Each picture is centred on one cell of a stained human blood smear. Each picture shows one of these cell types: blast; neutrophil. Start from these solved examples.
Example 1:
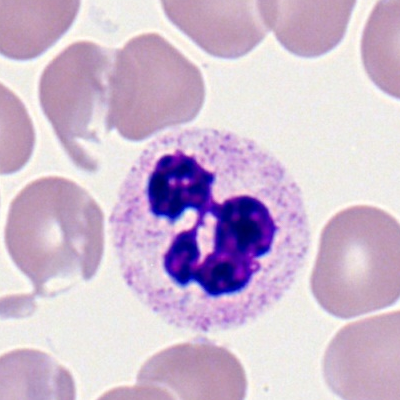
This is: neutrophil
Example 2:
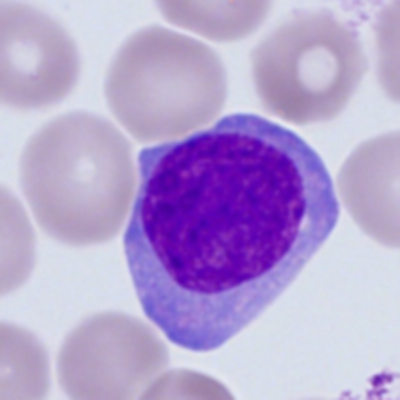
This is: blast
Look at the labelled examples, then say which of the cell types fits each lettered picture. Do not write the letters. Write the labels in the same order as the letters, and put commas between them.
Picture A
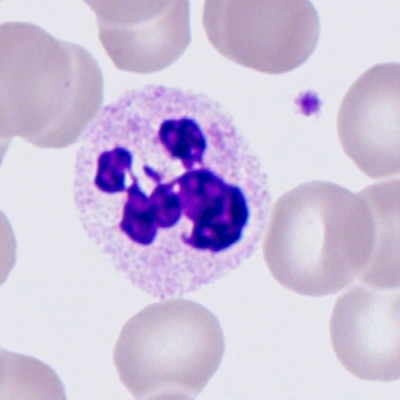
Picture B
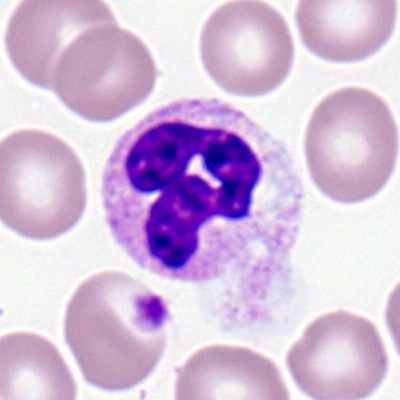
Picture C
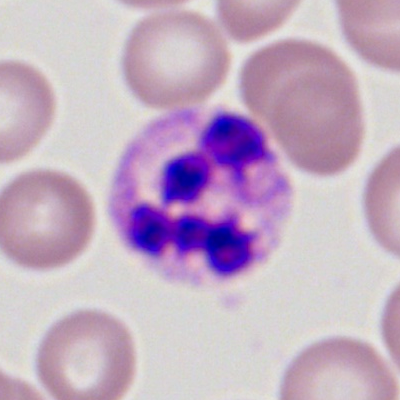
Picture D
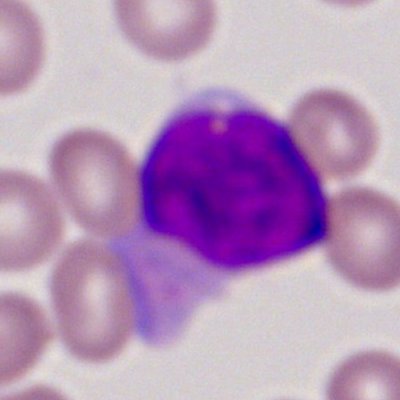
neutrophil, neutrophil, neutrophil, blast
